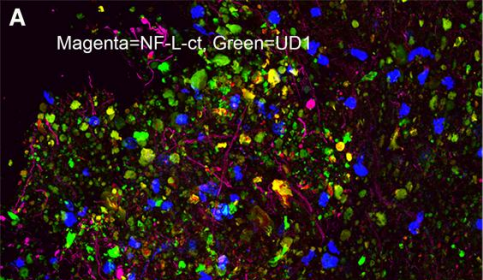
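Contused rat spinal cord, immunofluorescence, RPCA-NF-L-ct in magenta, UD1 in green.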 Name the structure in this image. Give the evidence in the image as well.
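Most stained objects are rounded blobs in green or yellow. Only a few thin magenta fibres cross the field. Blue nuclei are scattered among the blobs.
Conclusion: globular profiles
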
